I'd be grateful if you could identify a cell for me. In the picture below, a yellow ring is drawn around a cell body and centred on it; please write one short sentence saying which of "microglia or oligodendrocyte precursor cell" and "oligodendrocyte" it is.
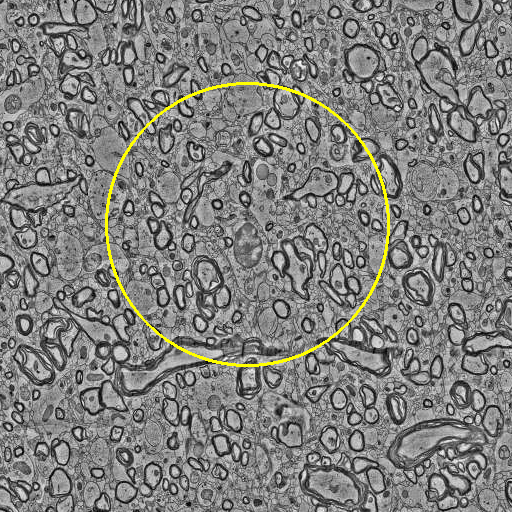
The cell under the ring's centre is a microglial cell or oligodendrocyte precursor cell.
